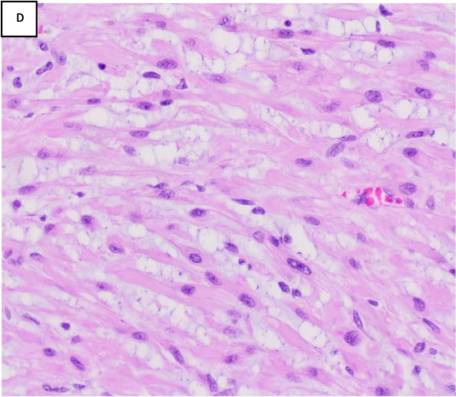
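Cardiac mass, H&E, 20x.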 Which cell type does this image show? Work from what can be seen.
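Spindle cells. Elongated cells with tapering ends. Cells lie side by side in streaming rows.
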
